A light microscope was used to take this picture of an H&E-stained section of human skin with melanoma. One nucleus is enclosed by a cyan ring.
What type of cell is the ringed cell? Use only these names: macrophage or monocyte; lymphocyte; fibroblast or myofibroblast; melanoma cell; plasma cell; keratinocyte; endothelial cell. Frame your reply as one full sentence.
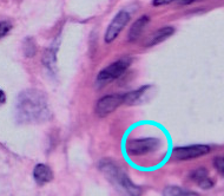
The correct response here is that the ringed cell is an endothelial cell.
